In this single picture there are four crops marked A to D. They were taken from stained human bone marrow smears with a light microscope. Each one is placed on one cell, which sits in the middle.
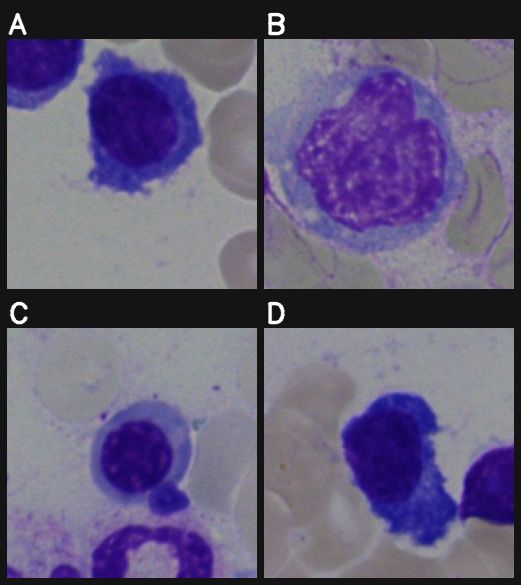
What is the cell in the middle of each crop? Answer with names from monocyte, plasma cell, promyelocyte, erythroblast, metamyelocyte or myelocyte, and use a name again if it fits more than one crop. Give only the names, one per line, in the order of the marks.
plasma cell
monocyte
erythroblast
plasma cell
